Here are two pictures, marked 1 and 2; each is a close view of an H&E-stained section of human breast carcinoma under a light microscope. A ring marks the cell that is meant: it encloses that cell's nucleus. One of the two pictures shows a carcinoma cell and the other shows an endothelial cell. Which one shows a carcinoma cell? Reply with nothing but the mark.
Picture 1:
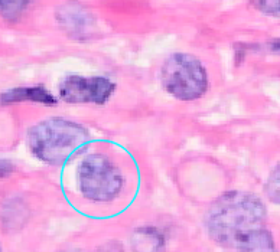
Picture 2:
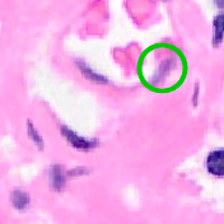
1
